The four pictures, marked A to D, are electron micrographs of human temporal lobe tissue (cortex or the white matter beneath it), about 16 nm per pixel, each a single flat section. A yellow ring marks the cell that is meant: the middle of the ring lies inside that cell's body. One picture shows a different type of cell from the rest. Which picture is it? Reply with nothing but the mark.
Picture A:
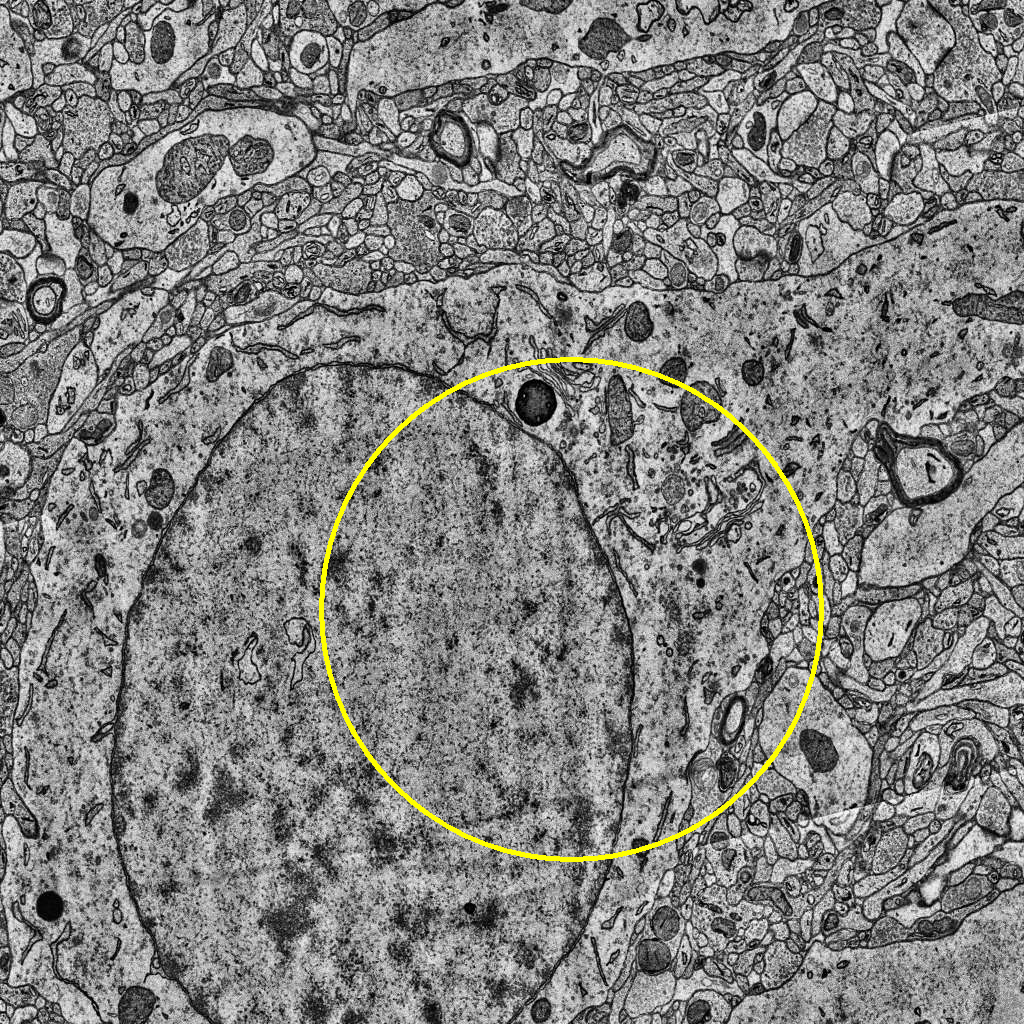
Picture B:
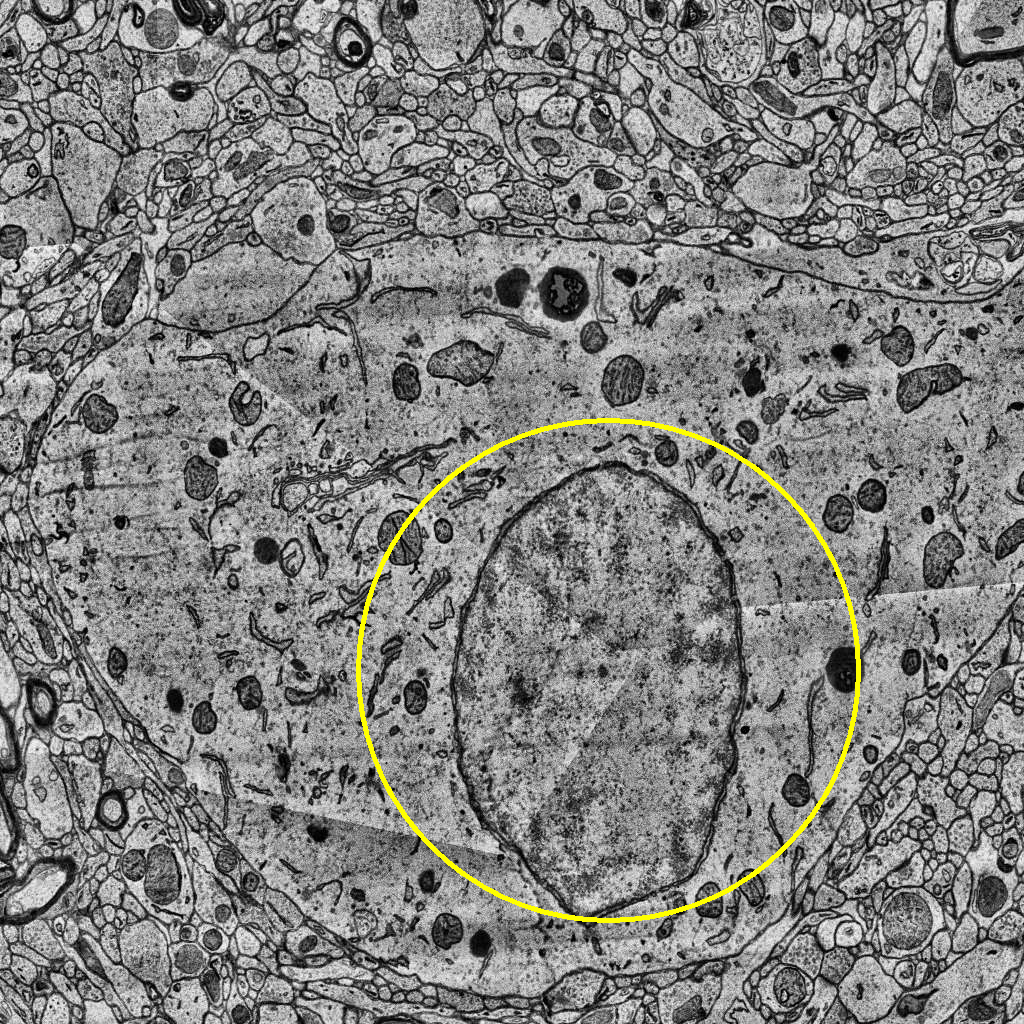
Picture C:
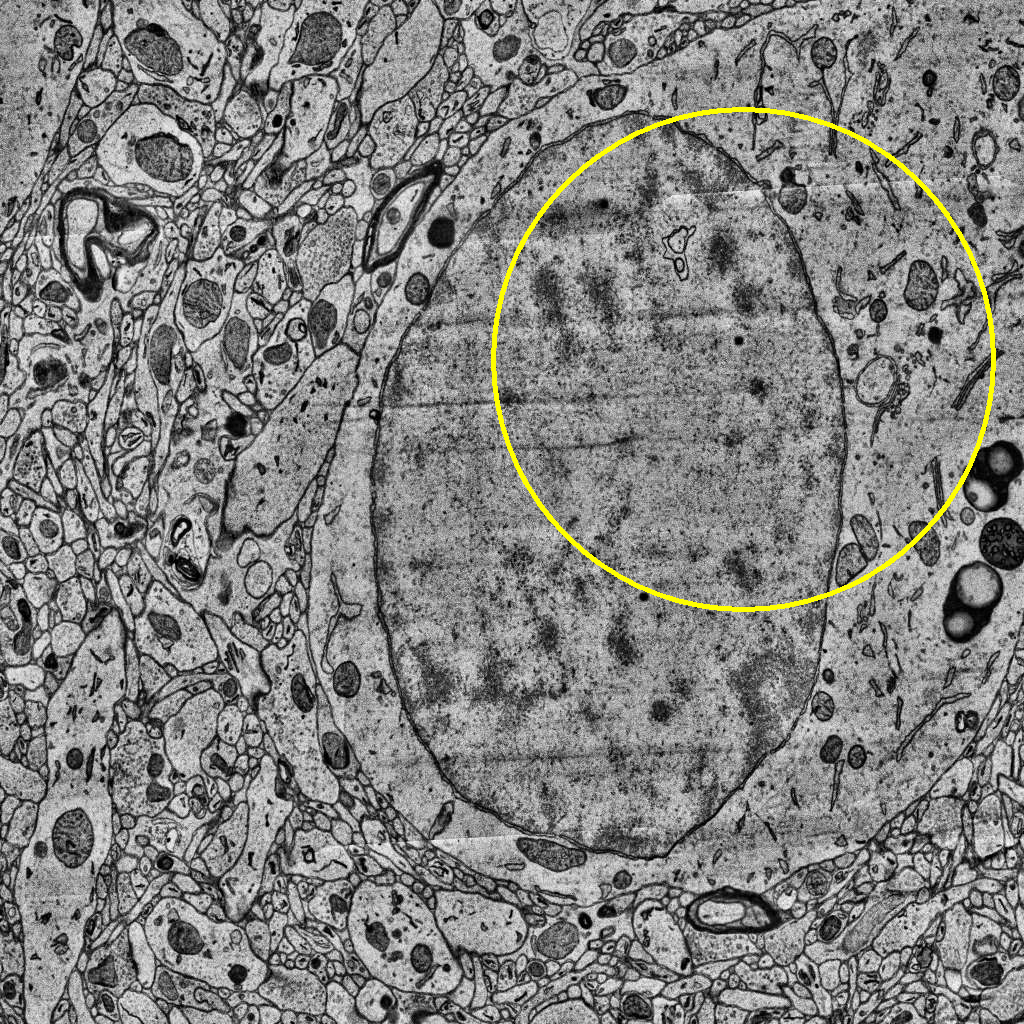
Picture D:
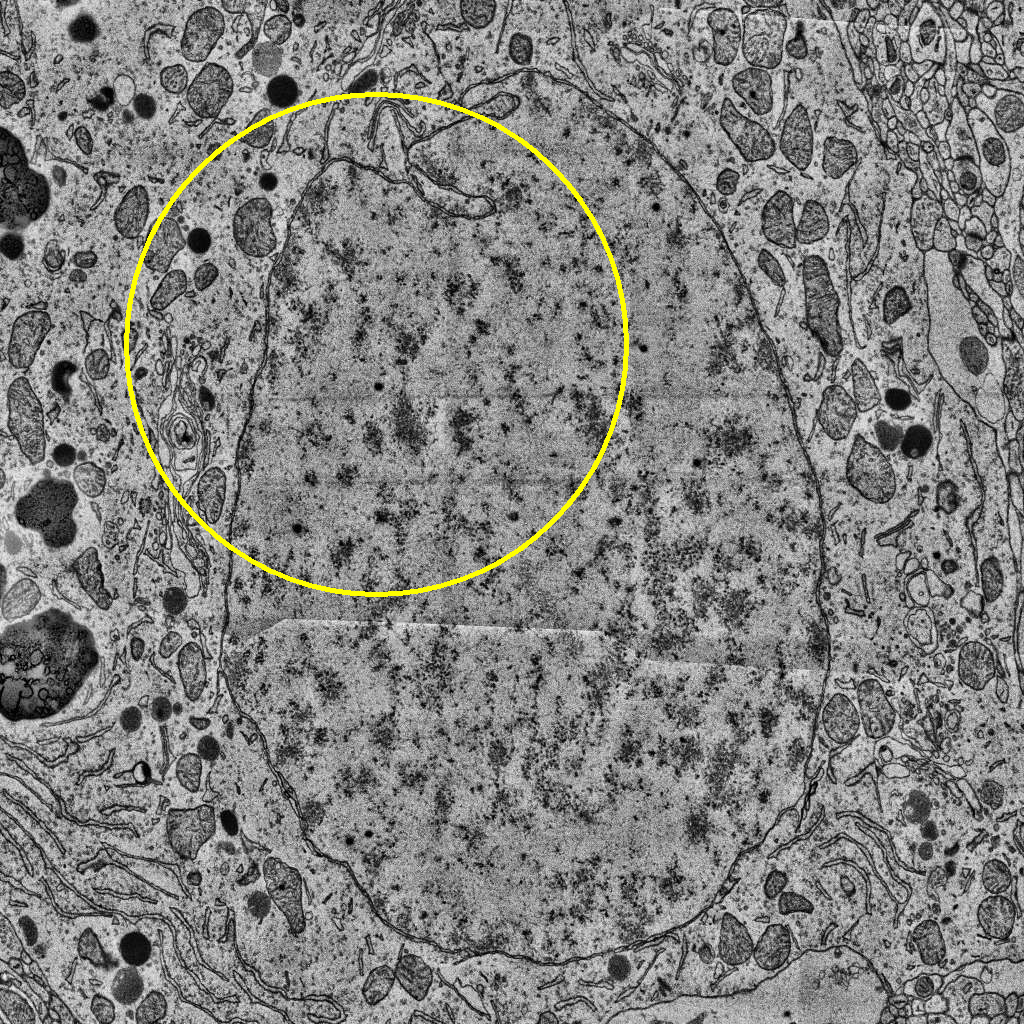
D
